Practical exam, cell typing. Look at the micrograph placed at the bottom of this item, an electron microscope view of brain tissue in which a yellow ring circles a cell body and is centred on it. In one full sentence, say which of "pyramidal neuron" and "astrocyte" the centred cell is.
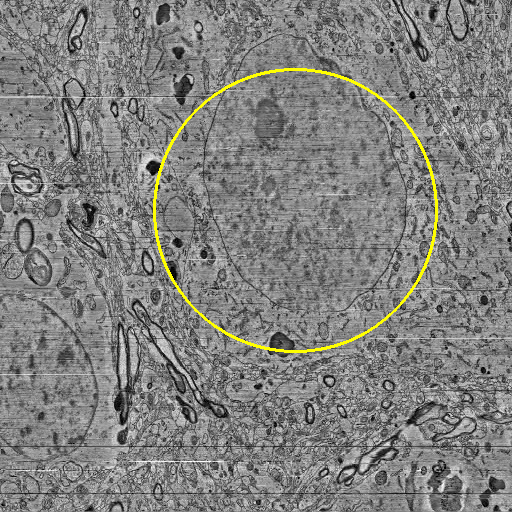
Given the options, a pyramidal neuron fits the cell whose body the yellow ring is centred on.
